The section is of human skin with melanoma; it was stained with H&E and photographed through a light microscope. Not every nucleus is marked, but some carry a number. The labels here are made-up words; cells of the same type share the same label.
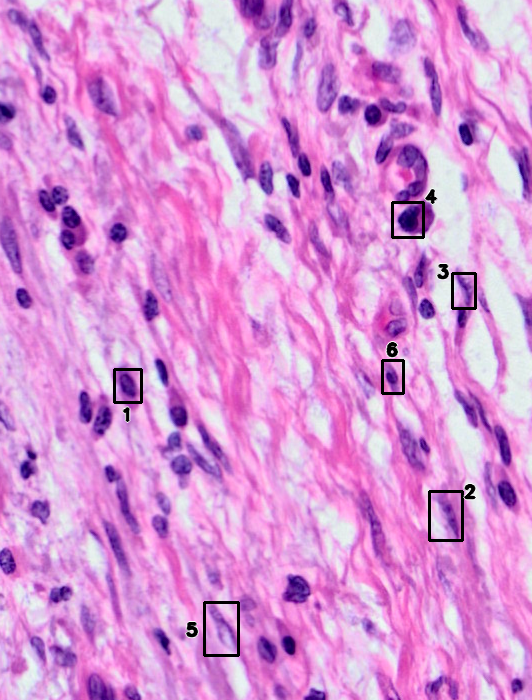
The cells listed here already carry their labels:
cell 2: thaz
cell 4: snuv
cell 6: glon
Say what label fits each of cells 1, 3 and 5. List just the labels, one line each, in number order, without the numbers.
snuv
thaz
thaz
